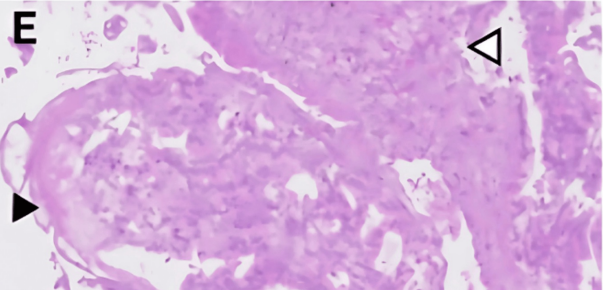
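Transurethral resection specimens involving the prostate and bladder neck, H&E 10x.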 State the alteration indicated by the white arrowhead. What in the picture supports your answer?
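Near the white arrowhead the tumor forms a sheet of cells with few or no lumina. On this evidence: solid.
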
